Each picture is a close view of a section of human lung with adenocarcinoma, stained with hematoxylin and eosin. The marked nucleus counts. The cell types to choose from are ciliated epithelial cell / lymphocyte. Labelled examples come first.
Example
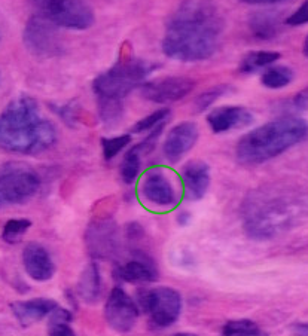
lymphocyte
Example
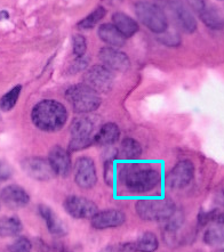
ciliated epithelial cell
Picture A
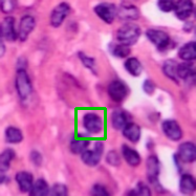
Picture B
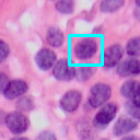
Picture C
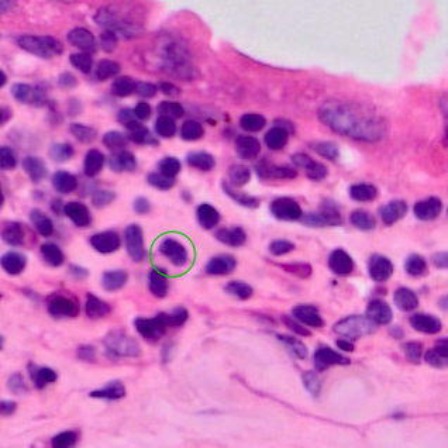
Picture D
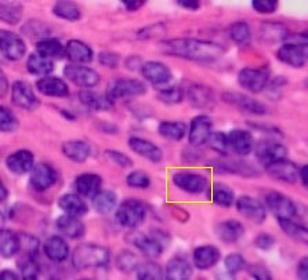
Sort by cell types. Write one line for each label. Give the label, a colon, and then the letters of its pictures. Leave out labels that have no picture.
lymphocyte: A, B, C, D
